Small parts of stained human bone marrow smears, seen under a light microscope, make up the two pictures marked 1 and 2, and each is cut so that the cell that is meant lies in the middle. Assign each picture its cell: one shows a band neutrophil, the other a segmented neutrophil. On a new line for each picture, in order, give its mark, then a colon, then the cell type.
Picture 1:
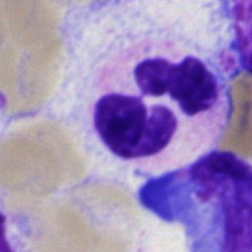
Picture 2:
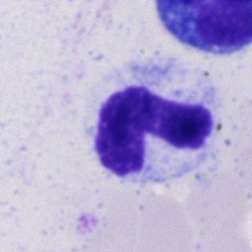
1: segmented neutrophil
2: band neutrophil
